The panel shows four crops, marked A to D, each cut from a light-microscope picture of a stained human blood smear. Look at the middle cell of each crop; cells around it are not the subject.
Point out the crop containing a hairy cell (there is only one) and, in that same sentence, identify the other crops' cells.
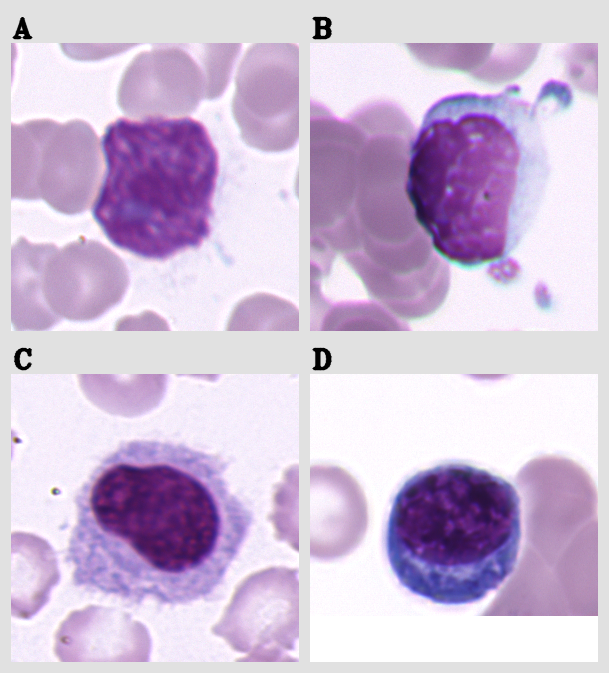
Crop C exhibits a hairy cell, while crop A is a smudge cell, crop B is a typical lymphocyte and crop D is a plasma cell.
